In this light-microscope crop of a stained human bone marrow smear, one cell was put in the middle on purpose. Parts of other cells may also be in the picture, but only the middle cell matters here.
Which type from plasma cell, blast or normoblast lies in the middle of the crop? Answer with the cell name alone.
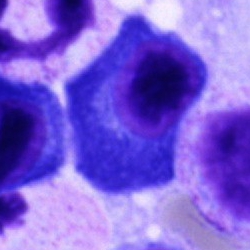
plasma cell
